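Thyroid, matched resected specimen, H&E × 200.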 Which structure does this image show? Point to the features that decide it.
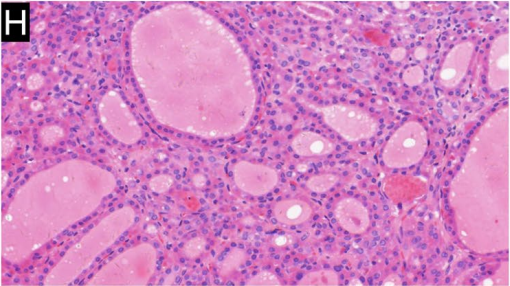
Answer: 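Follicular structures. Round spaces filled with pink colloid are lined by a single layer of cells. Follicles vary from small to large.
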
